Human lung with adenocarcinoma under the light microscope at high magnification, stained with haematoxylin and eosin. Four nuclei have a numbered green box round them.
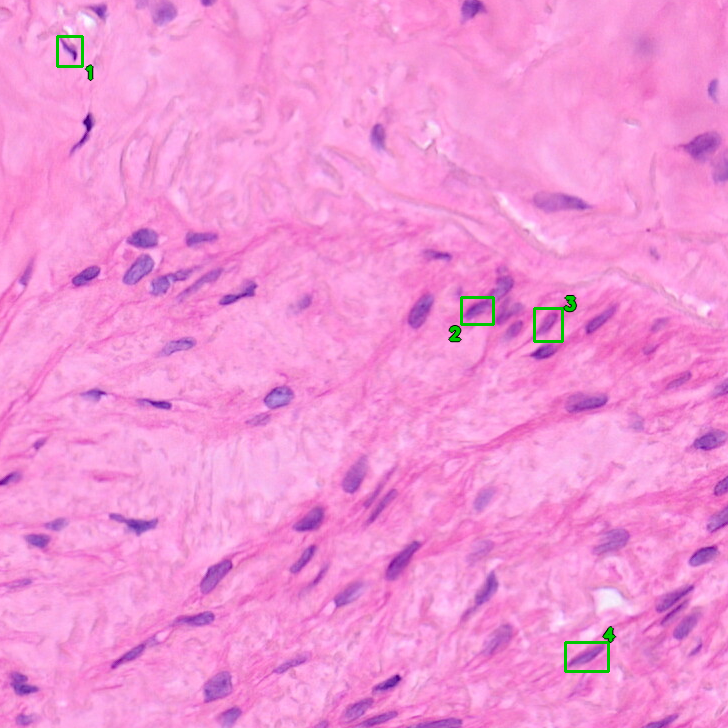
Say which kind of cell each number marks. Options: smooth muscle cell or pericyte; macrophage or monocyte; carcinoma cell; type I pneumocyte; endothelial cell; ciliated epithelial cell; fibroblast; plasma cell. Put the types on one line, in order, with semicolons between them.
fibroblast; smooth muscle cell or pericyte; smooth muscle cell or pericyte; smooth muscle cell or pericyte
